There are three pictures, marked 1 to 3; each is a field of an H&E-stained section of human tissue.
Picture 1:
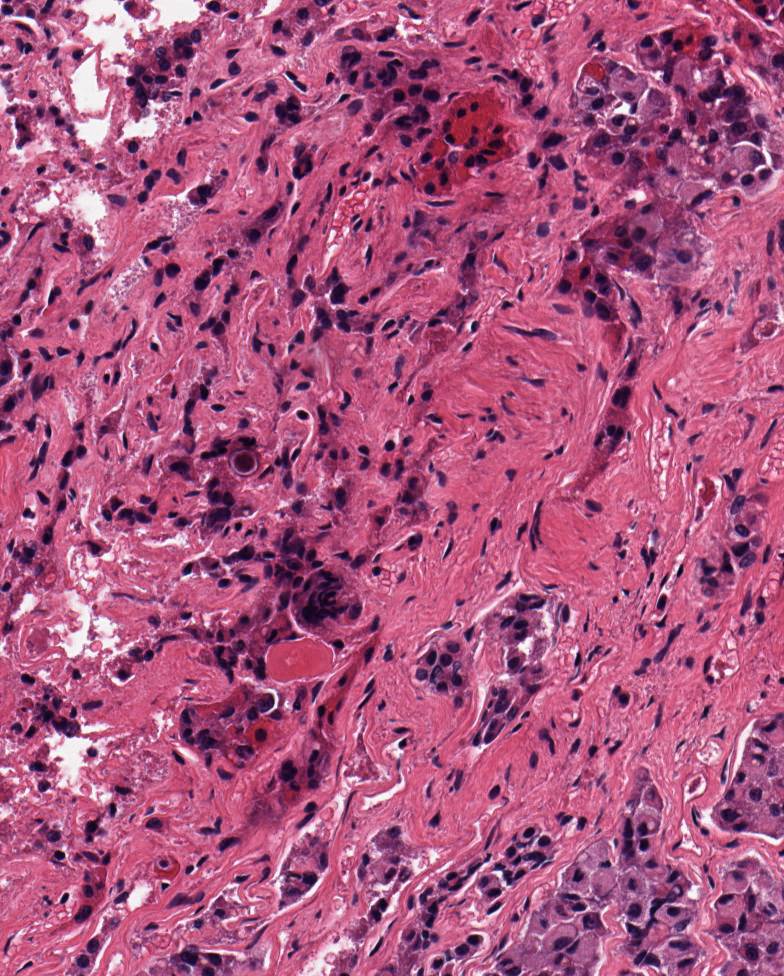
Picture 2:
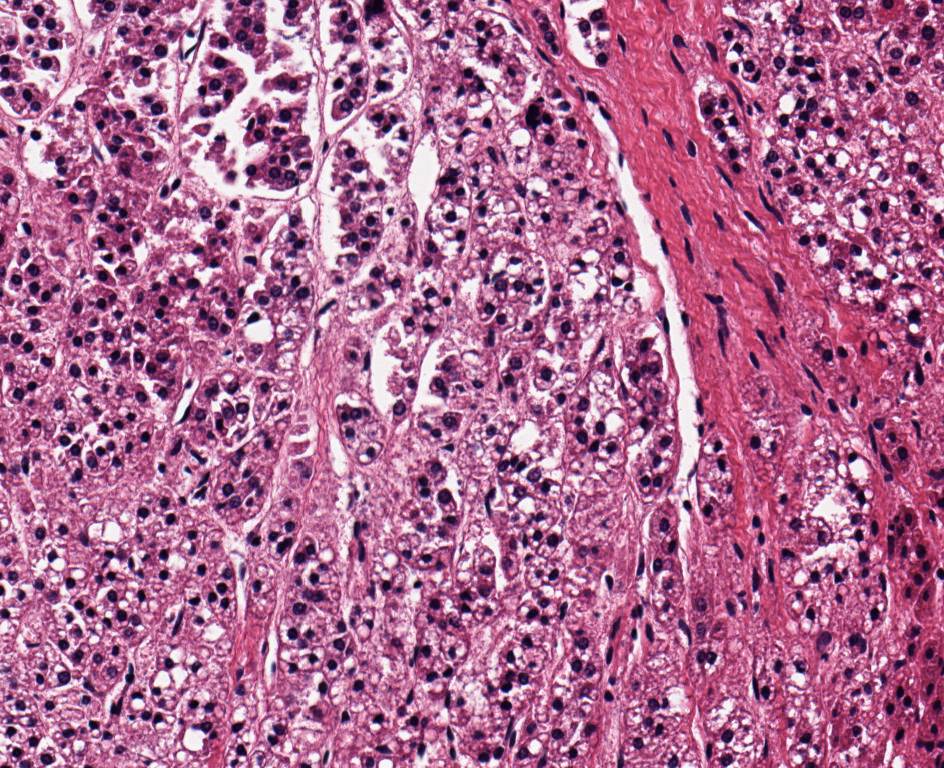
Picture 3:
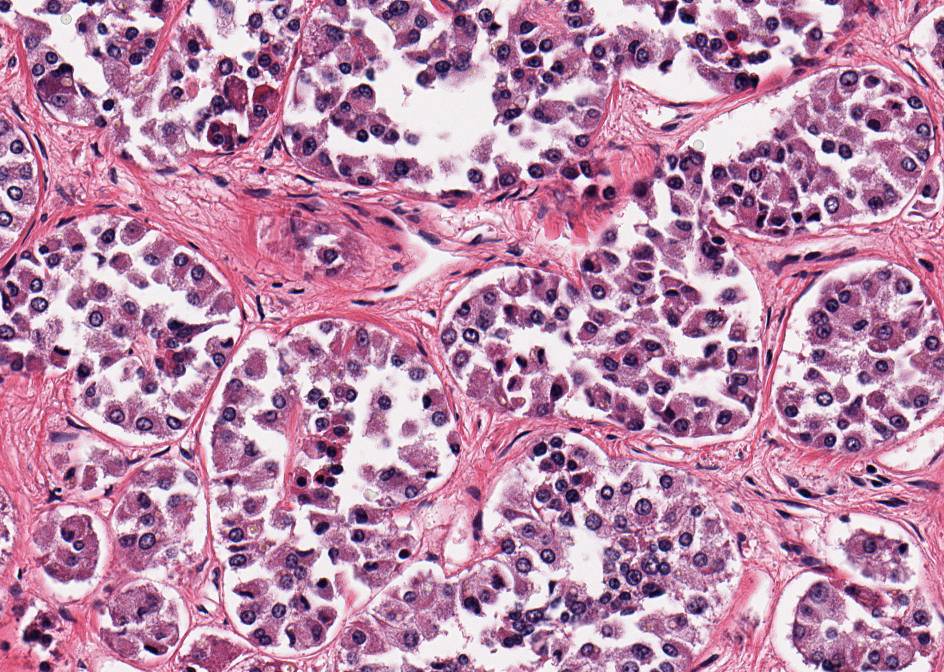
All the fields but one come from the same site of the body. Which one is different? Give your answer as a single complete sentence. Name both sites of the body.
All pictures except 2 come from the pituitary; picture 2 comes from the adrenal gland.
